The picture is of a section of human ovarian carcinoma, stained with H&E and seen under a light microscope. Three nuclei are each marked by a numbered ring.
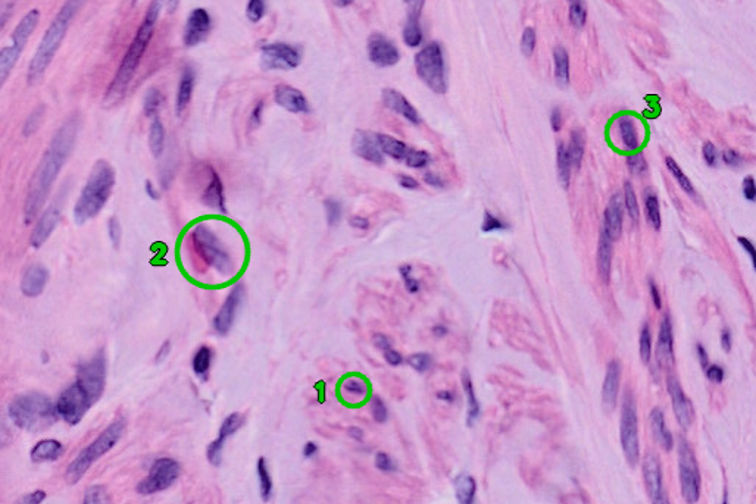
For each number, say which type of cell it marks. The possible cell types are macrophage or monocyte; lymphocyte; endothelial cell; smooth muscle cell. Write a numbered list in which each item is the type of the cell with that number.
1. smooth muscle cell
2. endothelial cell
3. smooth muscle cell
